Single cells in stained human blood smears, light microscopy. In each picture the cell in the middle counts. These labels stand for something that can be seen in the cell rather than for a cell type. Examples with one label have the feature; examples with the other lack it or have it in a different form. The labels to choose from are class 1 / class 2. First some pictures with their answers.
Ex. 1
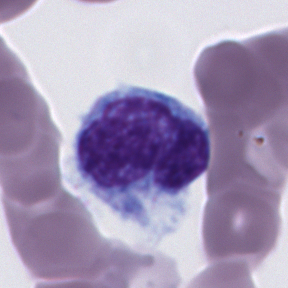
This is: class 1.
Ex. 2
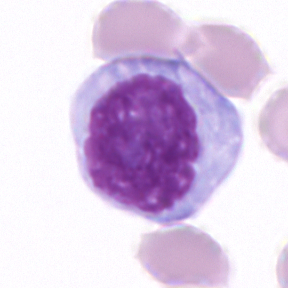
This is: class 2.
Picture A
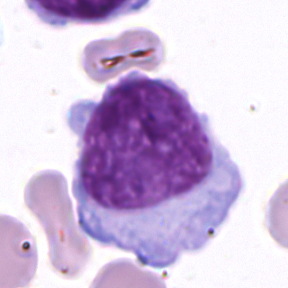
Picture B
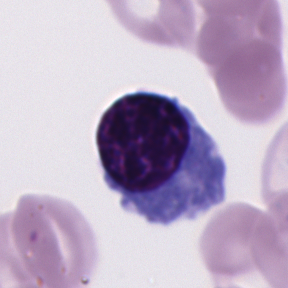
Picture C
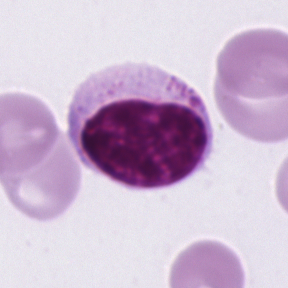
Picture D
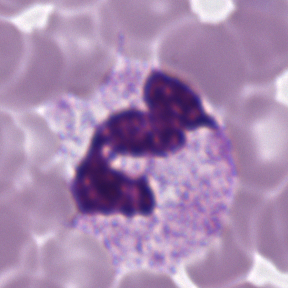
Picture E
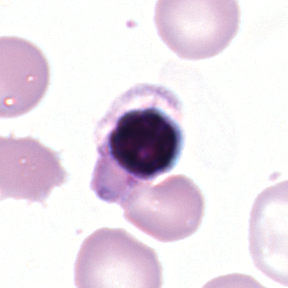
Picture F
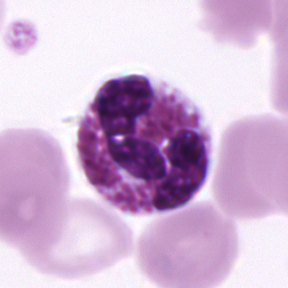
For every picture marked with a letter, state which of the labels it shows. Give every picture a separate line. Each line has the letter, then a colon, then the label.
A: class 1.
B: class 1.
C: class 2.
D: class 1.
E: class 1.
F: class 2.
